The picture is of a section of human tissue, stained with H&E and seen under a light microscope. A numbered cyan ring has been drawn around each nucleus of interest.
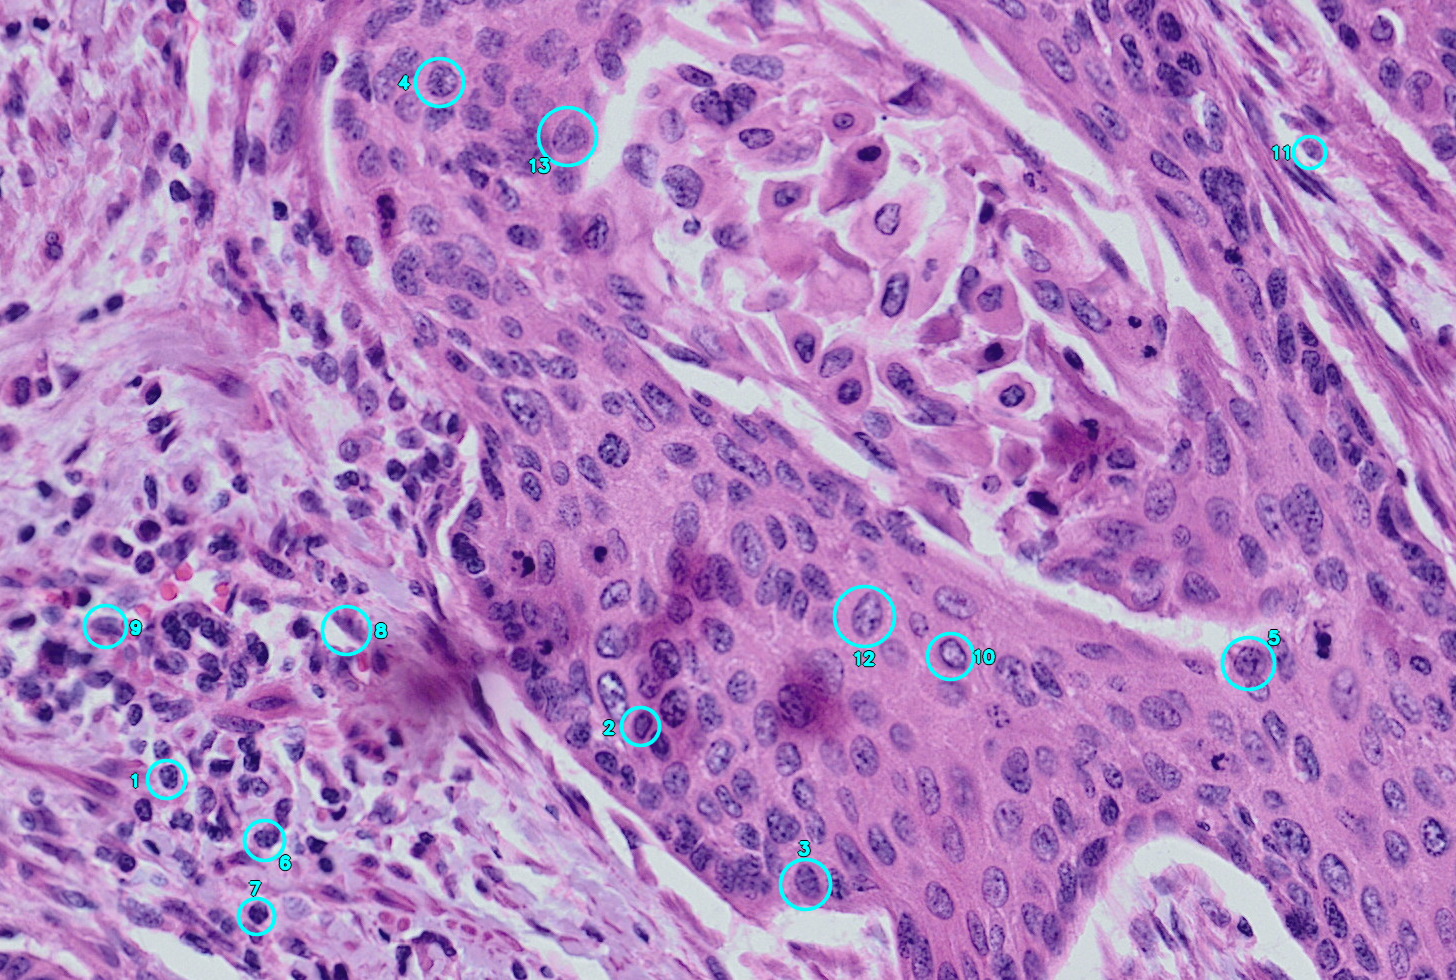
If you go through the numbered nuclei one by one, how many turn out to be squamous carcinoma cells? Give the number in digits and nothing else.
7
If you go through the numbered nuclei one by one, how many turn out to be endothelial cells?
2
